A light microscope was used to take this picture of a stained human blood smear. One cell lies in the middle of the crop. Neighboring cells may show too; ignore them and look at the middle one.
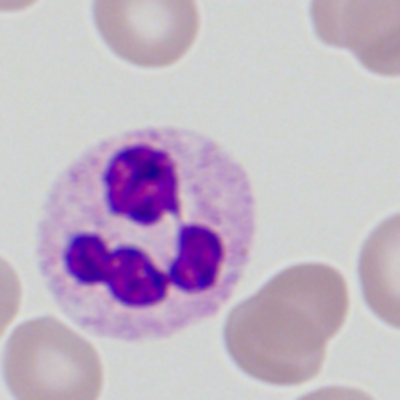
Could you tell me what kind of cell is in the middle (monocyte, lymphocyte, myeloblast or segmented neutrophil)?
segmented neutrophil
